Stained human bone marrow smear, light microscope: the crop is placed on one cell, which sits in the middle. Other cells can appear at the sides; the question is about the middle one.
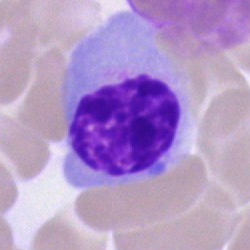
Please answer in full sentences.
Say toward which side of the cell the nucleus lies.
The nucleus sits off-centre, toward the bottom.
